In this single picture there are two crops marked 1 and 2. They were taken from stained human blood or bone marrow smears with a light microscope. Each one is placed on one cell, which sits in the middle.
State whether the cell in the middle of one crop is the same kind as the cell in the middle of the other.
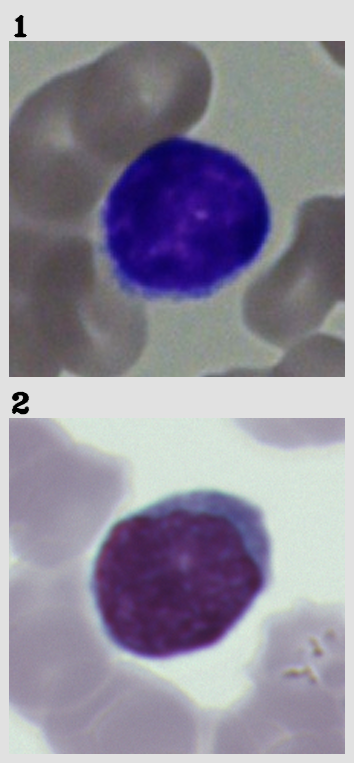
yes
